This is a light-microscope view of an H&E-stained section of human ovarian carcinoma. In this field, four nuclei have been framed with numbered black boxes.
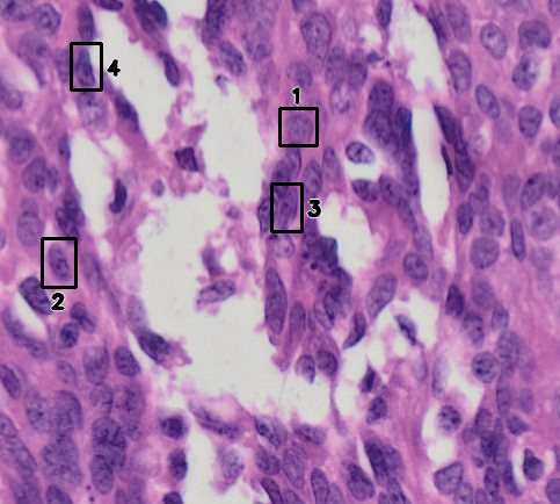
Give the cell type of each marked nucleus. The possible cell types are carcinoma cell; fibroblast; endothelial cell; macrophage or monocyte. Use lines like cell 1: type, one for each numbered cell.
cell 1: carcinoma cell
cell 2: macrophage or monocyte
cell 3: carcinoma cell
cell 4: carcinoma cell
